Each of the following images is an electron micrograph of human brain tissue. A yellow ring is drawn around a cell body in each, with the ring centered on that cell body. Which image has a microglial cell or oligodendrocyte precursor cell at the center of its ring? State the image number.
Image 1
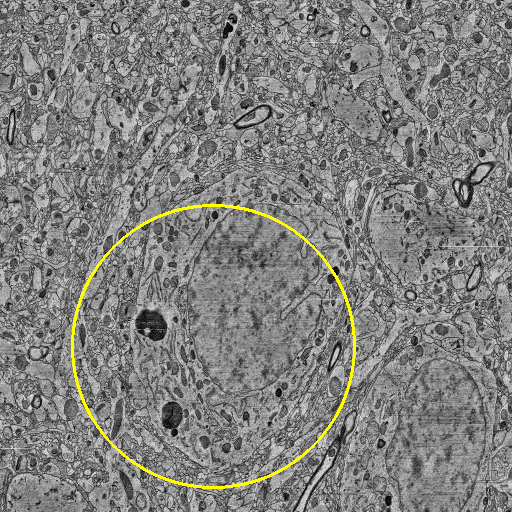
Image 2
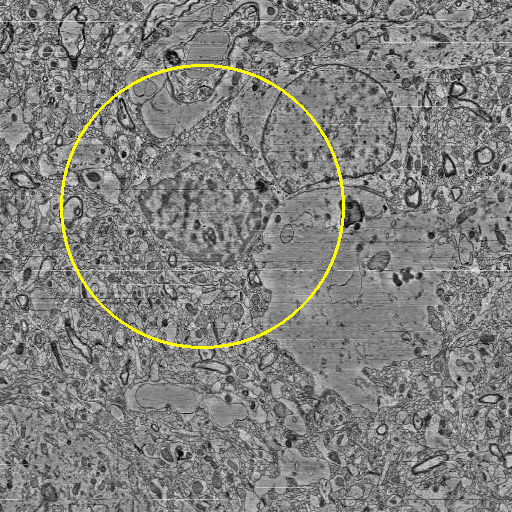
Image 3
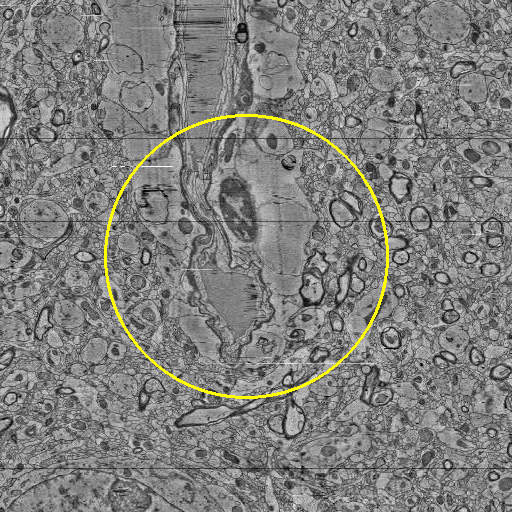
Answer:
3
